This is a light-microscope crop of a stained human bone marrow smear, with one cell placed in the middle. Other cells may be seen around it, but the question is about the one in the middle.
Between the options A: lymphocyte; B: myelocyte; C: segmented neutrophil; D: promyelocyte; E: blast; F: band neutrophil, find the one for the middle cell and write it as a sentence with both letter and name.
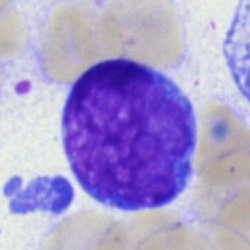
Option E is correct, and the cell in the centre is a blast.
